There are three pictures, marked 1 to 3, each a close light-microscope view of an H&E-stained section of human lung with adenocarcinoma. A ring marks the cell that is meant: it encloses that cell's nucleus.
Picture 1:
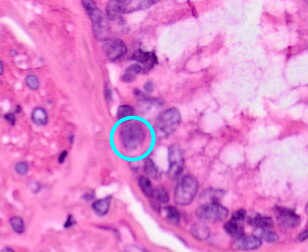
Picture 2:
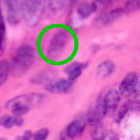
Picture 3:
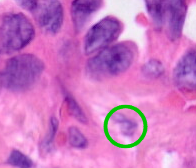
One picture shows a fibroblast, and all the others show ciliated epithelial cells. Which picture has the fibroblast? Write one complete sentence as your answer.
Picture 3 shows the fibroblast.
